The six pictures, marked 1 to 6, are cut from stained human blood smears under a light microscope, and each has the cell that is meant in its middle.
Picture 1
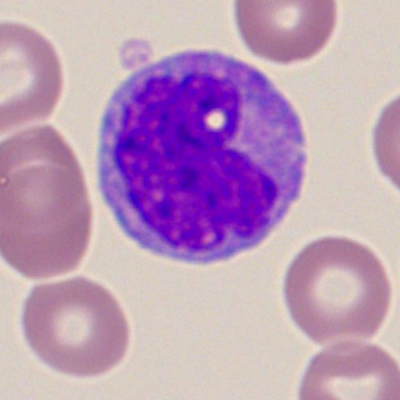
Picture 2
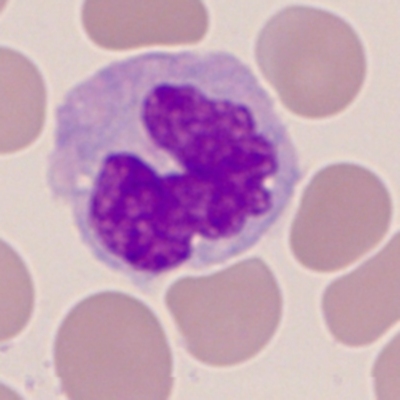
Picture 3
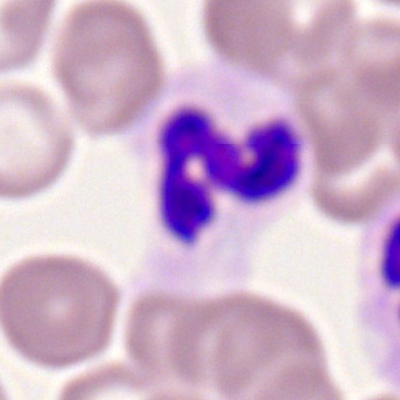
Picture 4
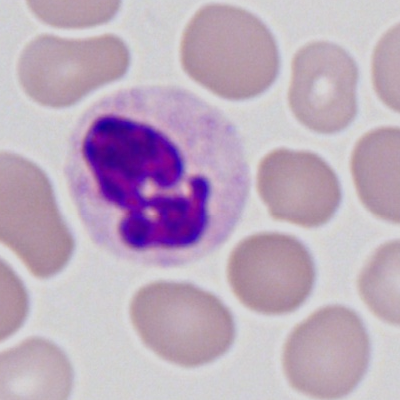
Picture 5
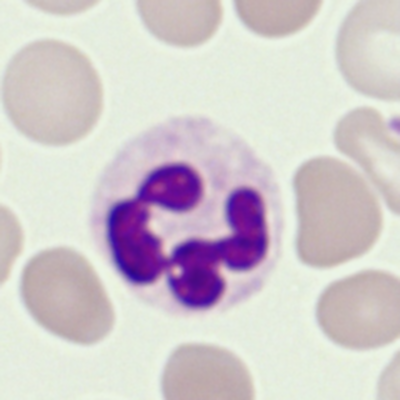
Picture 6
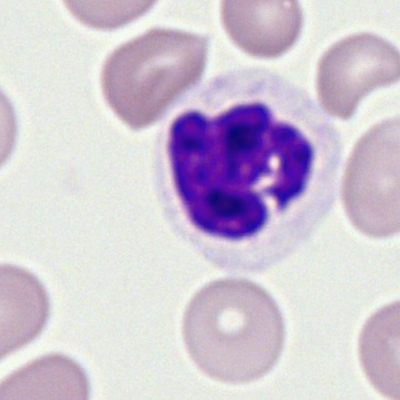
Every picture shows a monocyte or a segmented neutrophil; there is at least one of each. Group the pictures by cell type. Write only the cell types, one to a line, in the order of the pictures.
monocyte
monocyte
segmented neutrophil
segmented neutrophil
segmented neutrophil
segmented neutrophil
